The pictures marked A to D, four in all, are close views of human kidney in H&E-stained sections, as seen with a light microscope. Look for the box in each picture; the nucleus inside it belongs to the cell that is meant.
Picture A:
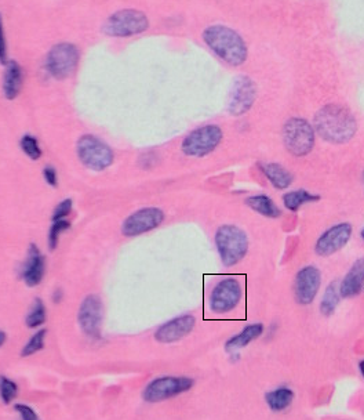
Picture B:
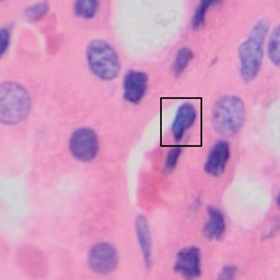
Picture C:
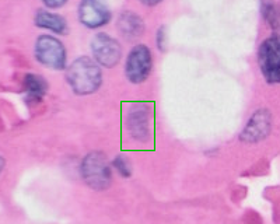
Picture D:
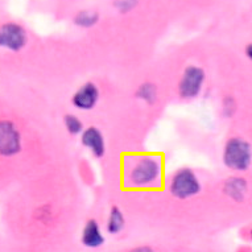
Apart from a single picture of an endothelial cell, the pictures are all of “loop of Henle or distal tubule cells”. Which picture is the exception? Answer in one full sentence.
The cell in picture B is the endothelial cell.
